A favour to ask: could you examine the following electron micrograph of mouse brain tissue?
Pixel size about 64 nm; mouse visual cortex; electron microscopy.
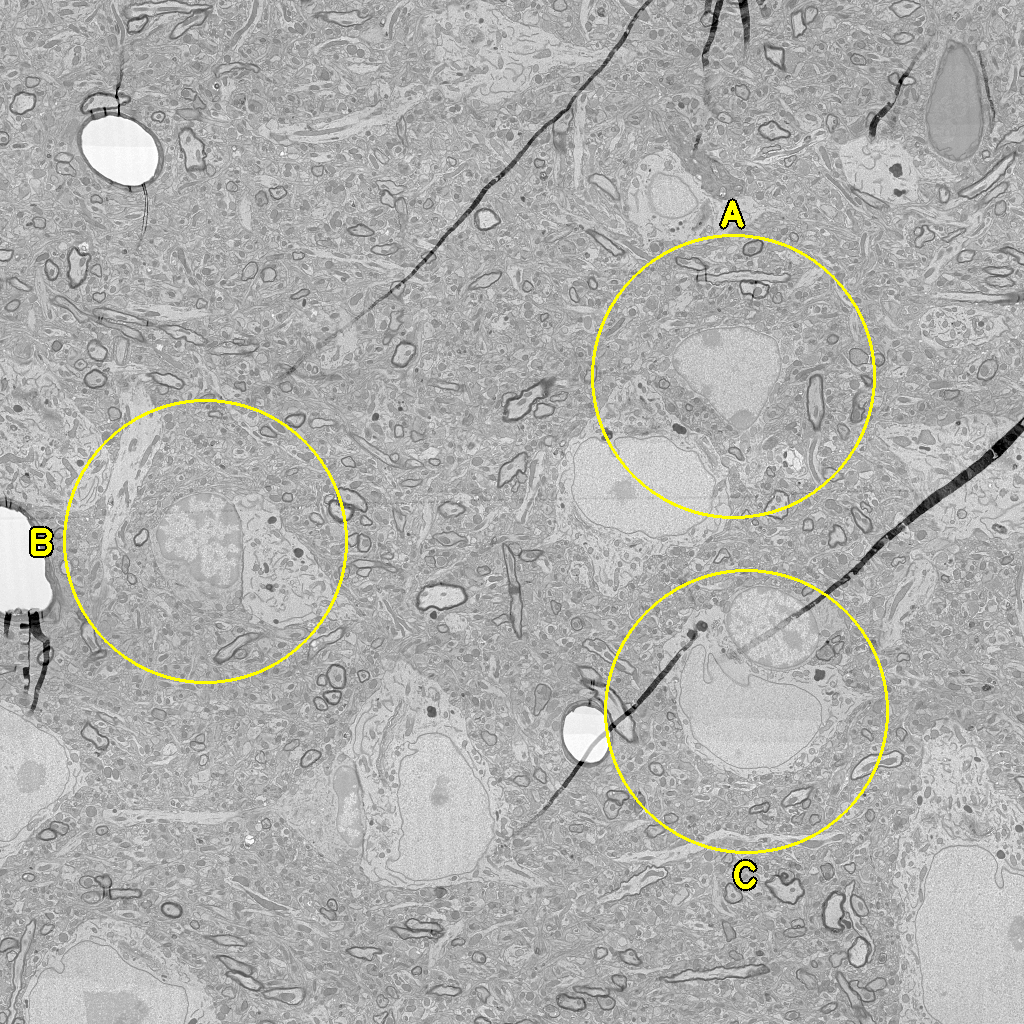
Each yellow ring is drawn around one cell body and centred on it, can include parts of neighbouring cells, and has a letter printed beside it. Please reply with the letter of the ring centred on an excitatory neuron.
C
